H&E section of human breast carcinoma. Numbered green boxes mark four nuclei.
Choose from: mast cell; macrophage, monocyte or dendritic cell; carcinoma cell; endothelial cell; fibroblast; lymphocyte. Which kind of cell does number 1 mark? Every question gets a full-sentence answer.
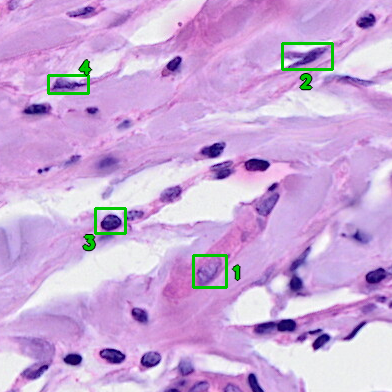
The cell indicated with the number 1 is classed as an endothelial cell.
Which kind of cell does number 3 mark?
In the marked set, the cell given number 3 is a lymphocyte.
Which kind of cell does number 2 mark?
The marked nucleus 2 is that of a fibroblast.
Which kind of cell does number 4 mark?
Identified as a fibroblast is the cell bearing the number 4.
